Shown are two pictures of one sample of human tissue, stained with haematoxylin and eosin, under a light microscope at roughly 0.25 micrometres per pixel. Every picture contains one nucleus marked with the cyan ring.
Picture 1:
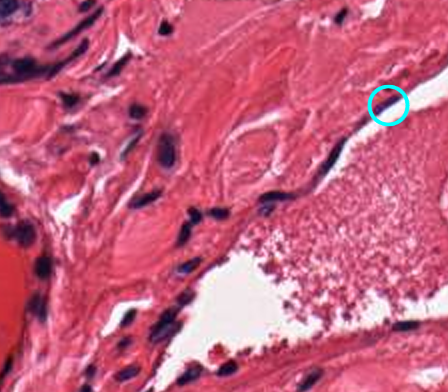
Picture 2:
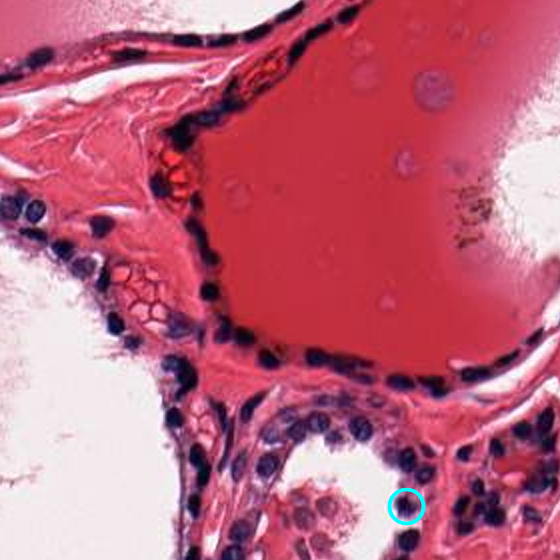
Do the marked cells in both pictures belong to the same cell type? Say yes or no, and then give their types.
No, the first is an endothelial cell and the second a thyroid follicular cell.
